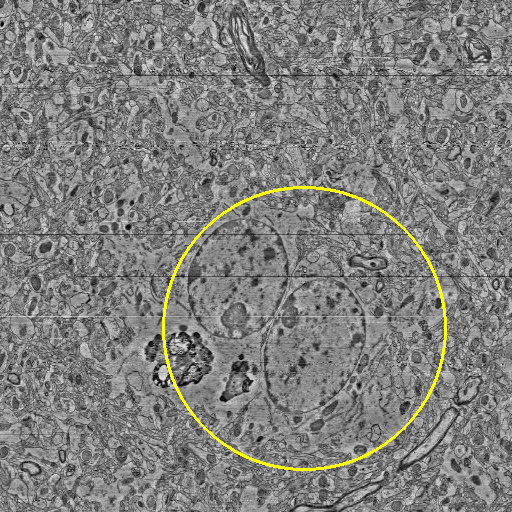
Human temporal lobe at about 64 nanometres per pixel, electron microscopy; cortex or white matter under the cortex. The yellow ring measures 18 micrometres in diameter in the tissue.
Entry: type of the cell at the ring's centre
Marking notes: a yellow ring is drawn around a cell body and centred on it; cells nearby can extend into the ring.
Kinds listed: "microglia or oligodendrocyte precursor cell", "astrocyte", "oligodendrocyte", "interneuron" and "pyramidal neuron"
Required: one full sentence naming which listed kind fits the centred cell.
My entry names an astrocyte as the cell whose body the yellow ring centres on.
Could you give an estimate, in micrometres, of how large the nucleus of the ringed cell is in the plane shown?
In this plane, roughly 9 by 7 micrometres.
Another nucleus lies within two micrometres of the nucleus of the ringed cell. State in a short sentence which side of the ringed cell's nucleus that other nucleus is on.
That second nucleus is to the upper left of it.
